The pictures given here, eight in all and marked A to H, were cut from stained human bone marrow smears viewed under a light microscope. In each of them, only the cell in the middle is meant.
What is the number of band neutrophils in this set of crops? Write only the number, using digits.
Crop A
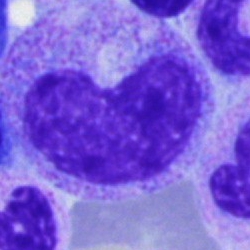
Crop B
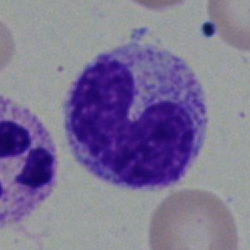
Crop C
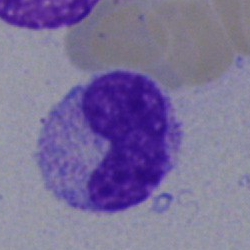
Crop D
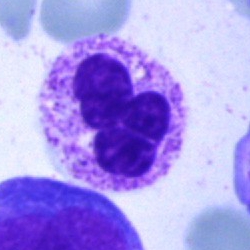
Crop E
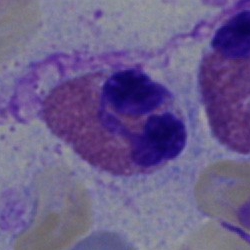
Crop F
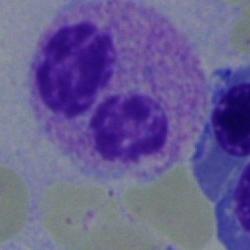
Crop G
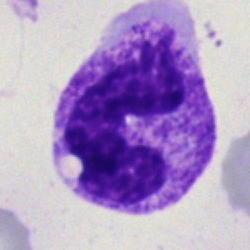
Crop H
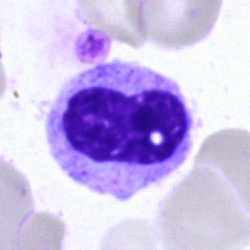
4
